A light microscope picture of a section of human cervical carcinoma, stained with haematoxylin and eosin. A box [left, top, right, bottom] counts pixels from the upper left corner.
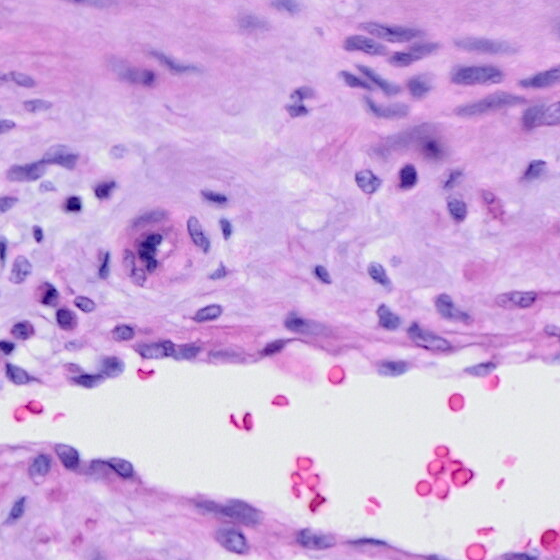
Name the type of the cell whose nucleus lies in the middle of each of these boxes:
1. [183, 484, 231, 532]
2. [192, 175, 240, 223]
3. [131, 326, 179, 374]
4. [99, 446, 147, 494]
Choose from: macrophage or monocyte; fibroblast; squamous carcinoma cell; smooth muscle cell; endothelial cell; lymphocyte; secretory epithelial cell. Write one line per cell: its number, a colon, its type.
1: endothelial cell
2: fibroblast
3: endothelial cell
4: endothelial cell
